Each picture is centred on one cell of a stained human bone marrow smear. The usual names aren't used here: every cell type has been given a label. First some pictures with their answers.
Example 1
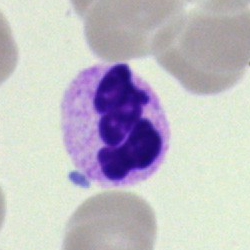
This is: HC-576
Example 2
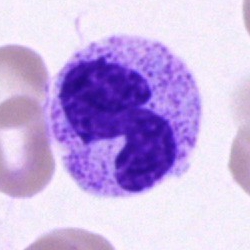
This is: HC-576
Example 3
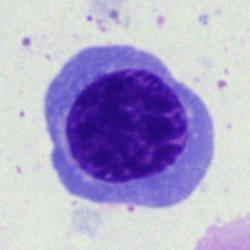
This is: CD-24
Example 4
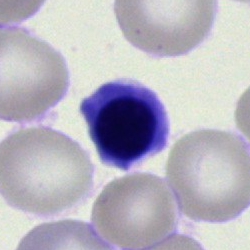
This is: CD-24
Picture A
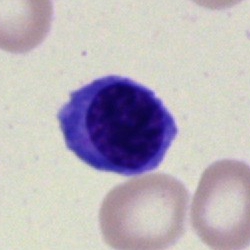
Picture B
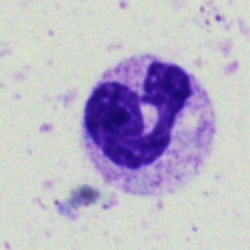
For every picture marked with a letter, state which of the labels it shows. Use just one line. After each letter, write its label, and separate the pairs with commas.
A CD-24, B HC-576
